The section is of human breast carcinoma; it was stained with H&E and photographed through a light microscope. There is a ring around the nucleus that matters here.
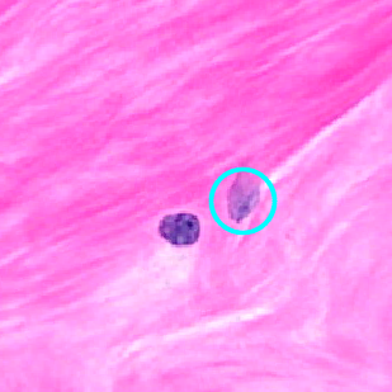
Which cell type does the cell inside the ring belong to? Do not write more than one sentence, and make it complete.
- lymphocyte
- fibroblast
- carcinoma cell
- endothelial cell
The correct response here is that the cell inside the ring is a fibroblast.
